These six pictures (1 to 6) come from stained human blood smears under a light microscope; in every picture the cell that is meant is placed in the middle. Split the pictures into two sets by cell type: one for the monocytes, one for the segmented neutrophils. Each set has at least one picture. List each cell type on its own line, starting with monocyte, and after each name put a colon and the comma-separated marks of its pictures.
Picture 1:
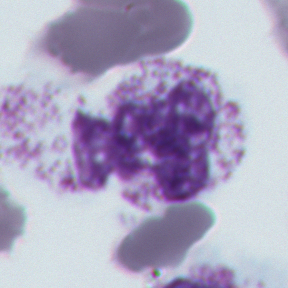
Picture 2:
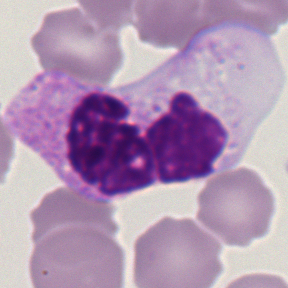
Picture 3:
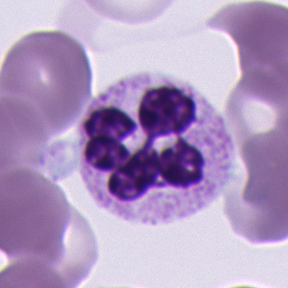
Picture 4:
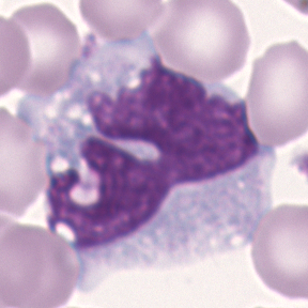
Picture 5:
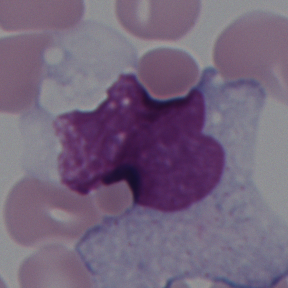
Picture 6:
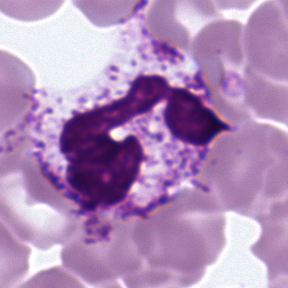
monocyte: 4, 5
segmented neutrophil: 1, 2, 3, 6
